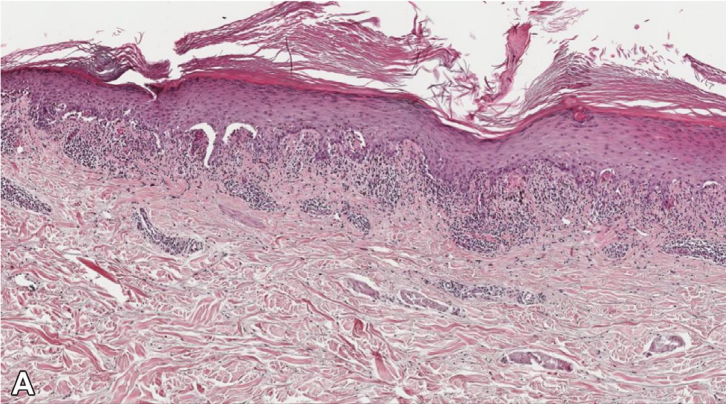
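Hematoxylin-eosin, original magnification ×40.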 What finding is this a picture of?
Hyperkeratosis.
